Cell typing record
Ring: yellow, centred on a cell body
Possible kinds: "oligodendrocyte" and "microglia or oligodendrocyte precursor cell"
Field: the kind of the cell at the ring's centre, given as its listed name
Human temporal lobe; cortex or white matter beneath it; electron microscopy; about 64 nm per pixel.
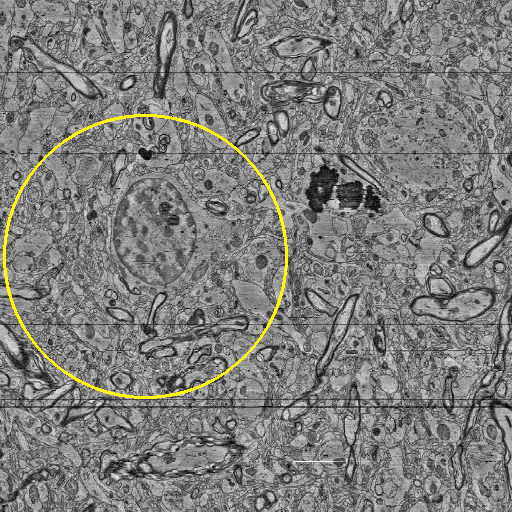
oligodendrocyte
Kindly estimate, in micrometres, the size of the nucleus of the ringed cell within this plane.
In this plane the nucleus spans approximately 7 by 5 micrometers.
